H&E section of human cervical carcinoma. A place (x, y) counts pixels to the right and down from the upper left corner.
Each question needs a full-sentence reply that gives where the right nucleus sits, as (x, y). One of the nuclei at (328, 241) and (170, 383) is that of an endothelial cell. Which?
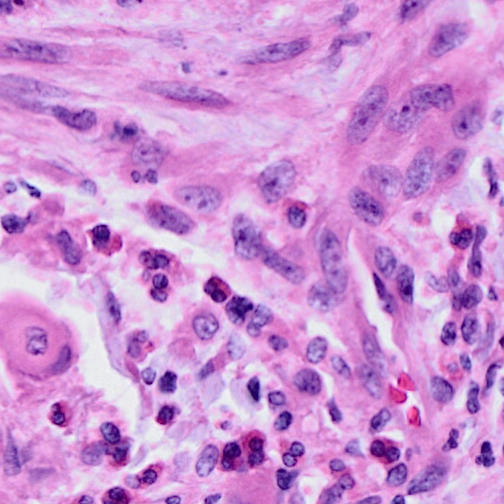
The nucleus that sits at (328, 241) is the nucleus of an endothelial cell.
